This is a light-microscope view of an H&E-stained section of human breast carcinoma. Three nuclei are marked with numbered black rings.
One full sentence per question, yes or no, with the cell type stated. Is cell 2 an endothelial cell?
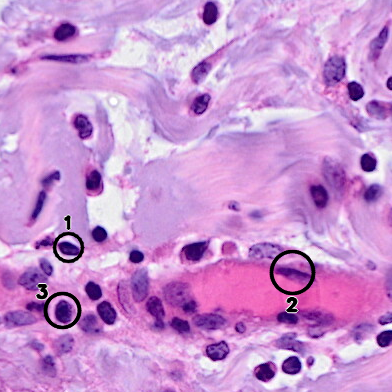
Yes, that is correct: the cell numbered 2 is an endothelial cell.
